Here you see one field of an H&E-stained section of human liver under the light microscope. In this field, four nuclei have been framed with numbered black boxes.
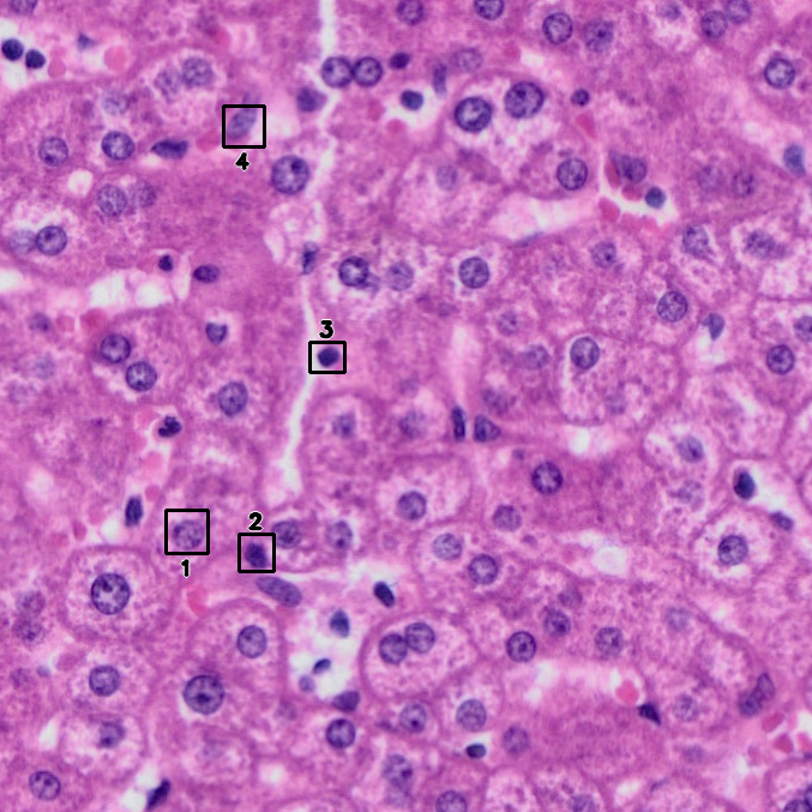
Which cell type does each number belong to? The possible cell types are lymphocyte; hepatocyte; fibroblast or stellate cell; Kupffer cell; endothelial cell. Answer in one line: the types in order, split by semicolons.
hepatocyte; fibroblast or stellate cell; lymphocyte; Kupffer cell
